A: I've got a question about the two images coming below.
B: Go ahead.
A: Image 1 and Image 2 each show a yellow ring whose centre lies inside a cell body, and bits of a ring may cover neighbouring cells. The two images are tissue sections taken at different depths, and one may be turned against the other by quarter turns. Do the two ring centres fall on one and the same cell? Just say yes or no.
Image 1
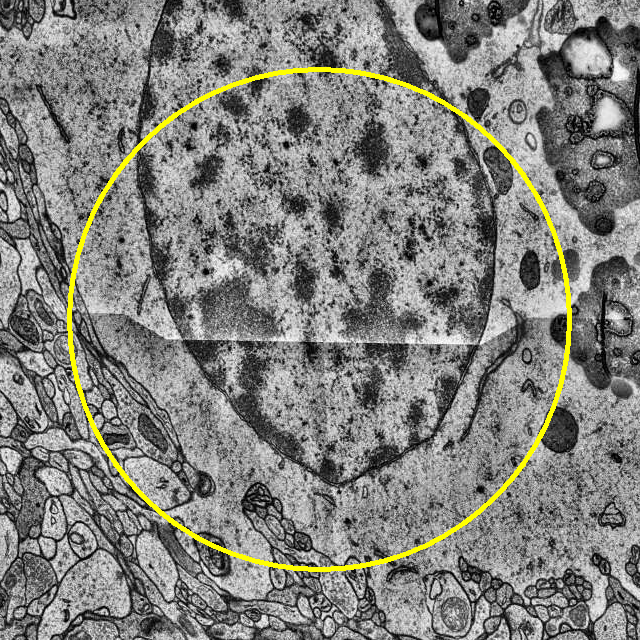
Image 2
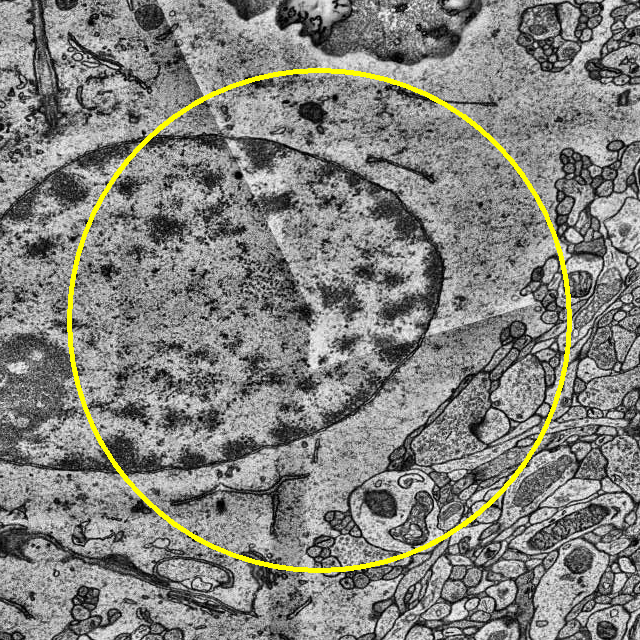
yes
